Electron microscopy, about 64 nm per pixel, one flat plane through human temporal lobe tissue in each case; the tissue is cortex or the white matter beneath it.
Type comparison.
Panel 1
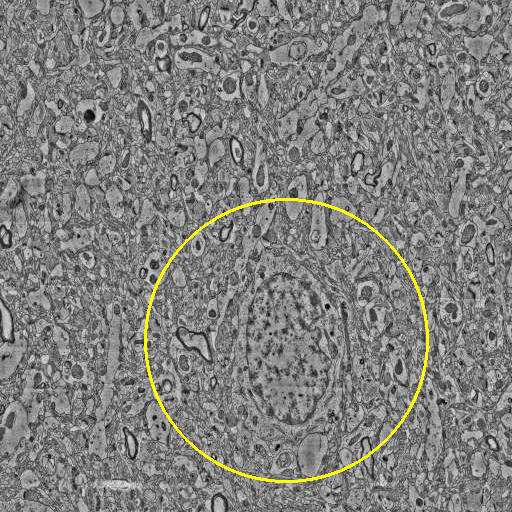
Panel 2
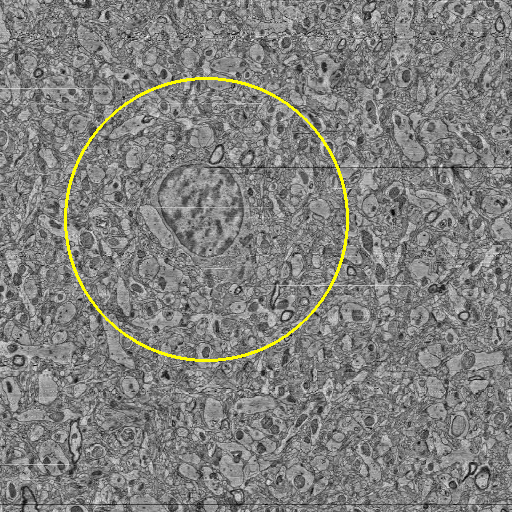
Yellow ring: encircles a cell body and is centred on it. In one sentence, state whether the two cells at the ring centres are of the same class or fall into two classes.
In these panels, the two cells at the ring centres fall into two classes.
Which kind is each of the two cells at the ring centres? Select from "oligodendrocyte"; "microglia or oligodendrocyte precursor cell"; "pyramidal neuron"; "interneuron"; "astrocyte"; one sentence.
The cell at the centre of the ring is an interneuron in the first picture and an oligodendrocyte in the second.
